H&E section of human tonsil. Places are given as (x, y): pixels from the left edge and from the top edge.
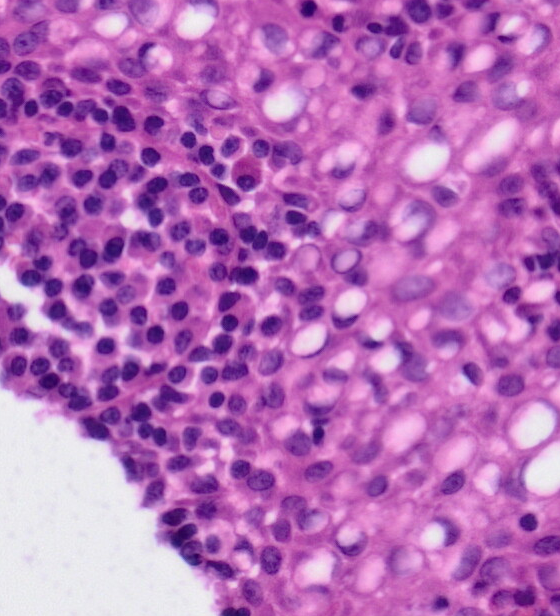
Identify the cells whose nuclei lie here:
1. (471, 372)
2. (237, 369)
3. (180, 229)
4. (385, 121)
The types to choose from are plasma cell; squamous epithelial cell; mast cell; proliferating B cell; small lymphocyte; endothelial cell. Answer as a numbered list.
1. squamous epithelial cell
2. squamous epithelial cell
3. plasma cell
4. squamous epithelial cell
